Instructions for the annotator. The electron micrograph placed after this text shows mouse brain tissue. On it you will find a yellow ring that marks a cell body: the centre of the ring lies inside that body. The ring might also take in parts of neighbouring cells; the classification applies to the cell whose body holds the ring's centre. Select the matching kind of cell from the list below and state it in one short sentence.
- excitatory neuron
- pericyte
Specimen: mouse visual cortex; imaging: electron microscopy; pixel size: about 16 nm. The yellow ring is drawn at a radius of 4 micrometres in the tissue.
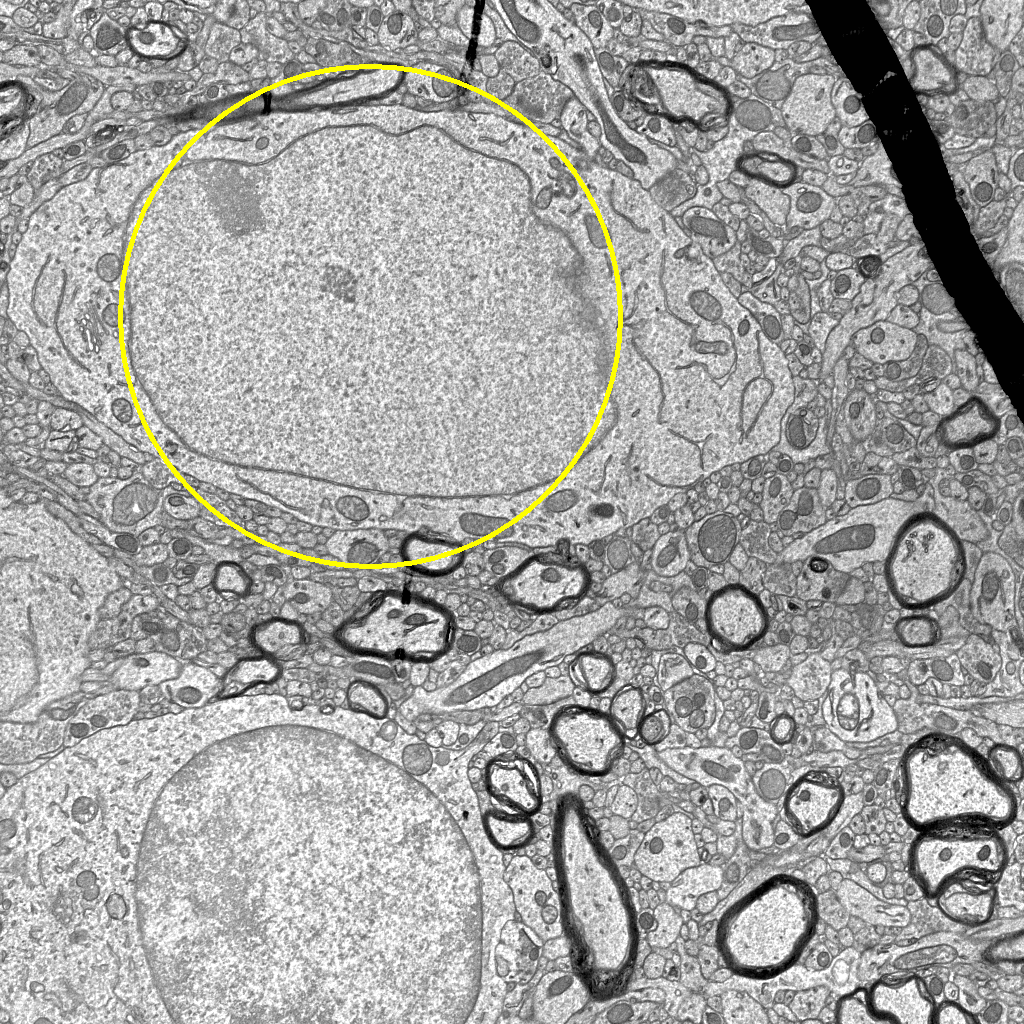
The centre of the ring lies in the cell body of an excitatory neuron.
